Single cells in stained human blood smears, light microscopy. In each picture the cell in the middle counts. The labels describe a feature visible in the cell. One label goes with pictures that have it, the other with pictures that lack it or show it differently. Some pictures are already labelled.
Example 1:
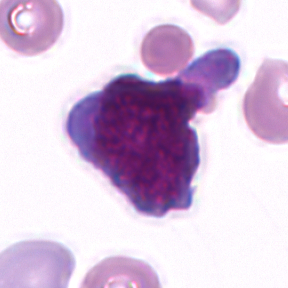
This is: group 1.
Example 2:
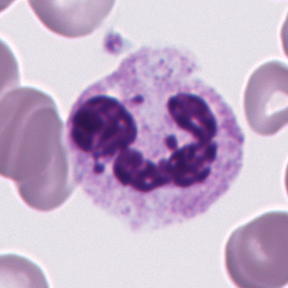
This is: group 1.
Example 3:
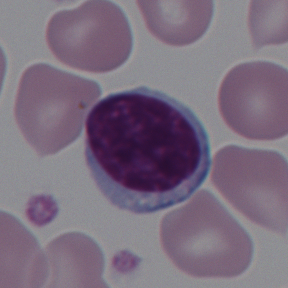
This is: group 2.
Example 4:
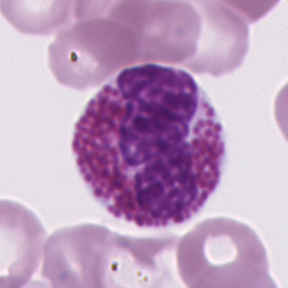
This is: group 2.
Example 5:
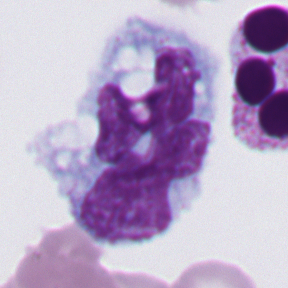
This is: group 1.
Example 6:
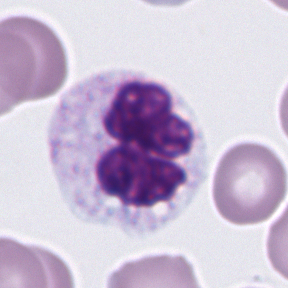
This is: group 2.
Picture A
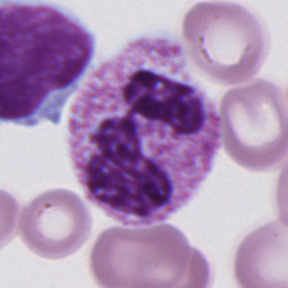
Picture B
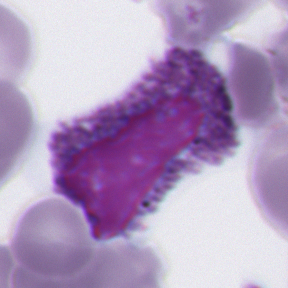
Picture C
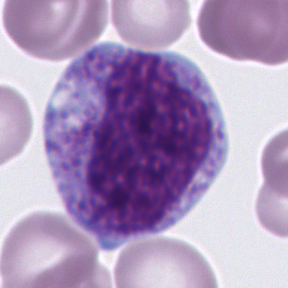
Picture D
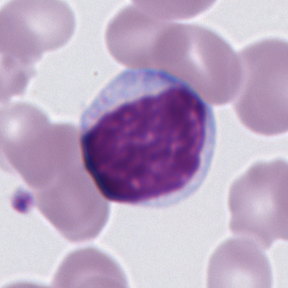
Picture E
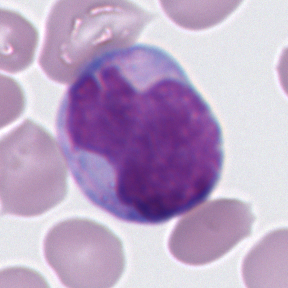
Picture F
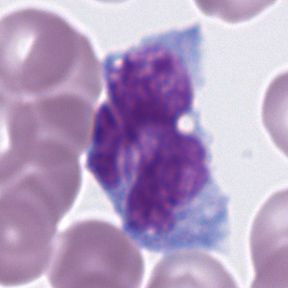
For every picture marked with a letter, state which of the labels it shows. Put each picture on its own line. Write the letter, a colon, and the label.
A: group 2.
B: group 1.
C: group 1.
D: group 2.
E: group 2.
F: group 1.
